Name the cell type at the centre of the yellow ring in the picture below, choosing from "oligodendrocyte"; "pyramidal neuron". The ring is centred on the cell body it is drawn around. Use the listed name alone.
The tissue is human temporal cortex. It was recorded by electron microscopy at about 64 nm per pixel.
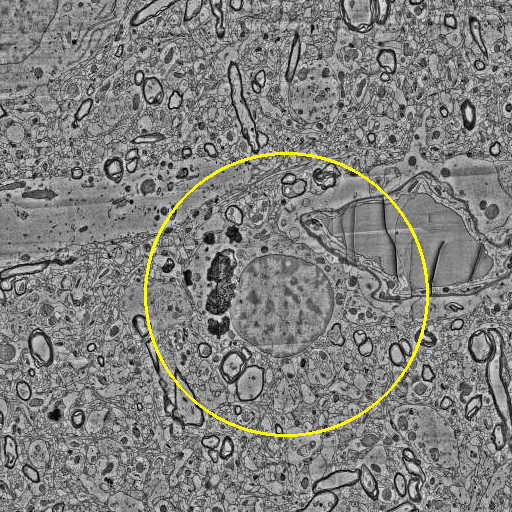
oligodendrocyte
